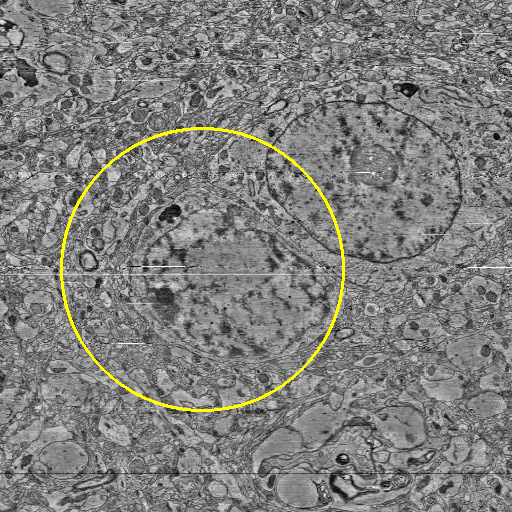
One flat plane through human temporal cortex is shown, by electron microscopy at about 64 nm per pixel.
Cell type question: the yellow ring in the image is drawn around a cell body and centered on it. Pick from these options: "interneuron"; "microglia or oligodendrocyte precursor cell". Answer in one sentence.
The ringed cell at the center is an interneuron.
